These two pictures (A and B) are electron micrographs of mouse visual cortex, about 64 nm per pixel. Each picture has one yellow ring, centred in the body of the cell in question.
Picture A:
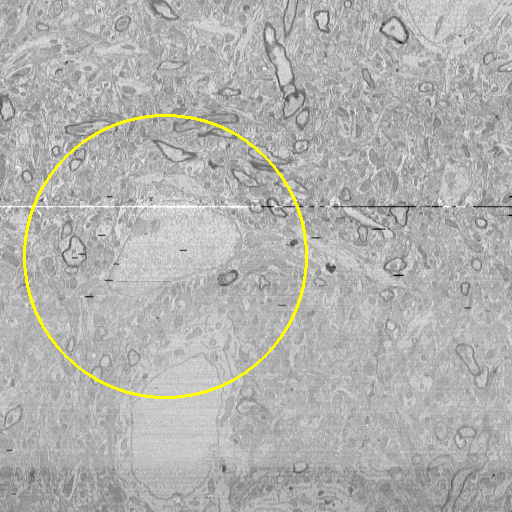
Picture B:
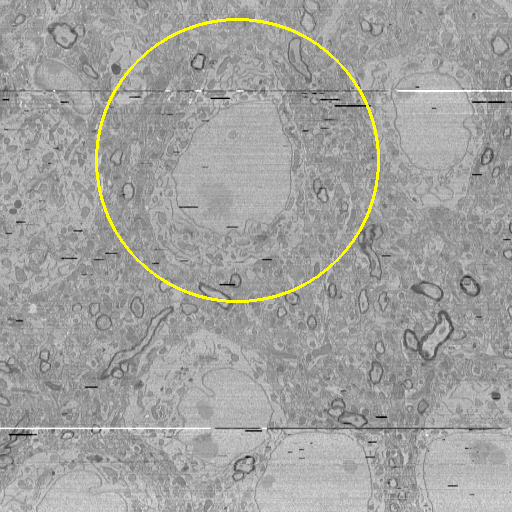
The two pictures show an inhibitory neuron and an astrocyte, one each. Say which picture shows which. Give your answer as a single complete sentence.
Picture A shows an astrocyte and picture B shows an inhibitory neuron.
